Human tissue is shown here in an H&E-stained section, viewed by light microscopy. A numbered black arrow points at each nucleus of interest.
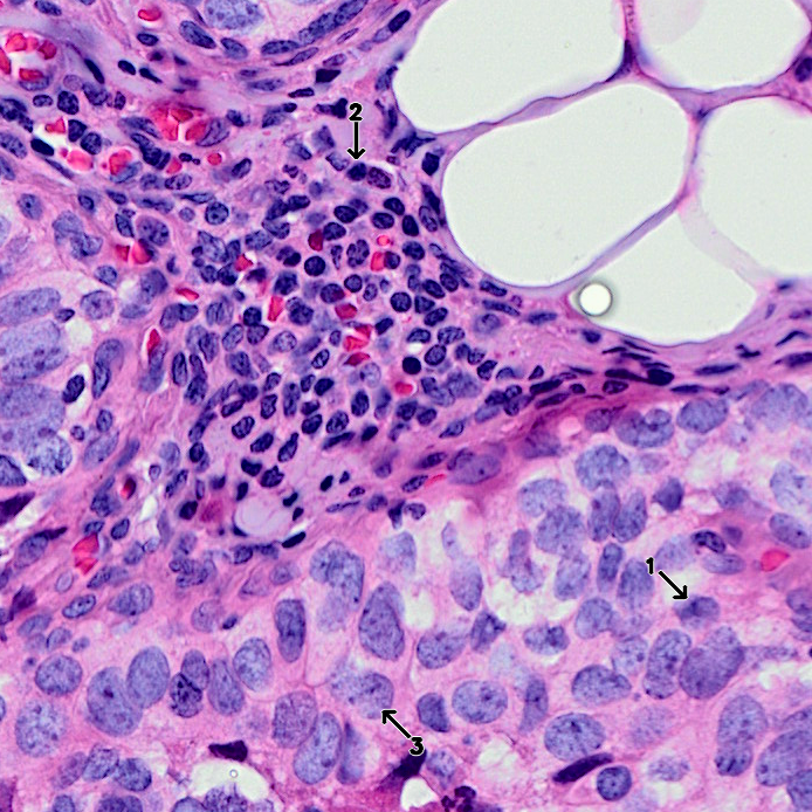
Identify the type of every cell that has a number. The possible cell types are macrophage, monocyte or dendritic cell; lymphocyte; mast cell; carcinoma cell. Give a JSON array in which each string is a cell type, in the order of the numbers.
["carcinoma cell", "lymphocyte", "carcinoma cell"]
